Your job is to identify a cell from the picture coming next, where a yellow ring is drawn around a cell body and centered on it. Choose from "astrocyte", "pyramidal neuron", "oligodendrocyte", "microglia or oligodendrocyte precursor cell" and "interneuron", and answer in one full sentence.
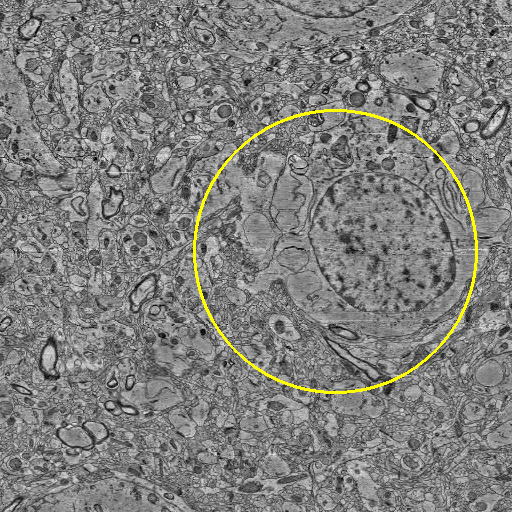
Centered in the yellow ring of the picture is the body of an astrocyte.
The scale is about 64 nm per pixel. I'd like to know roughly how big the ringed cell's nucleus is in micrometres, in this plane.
About 10 by 9 micrometres in this plane.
